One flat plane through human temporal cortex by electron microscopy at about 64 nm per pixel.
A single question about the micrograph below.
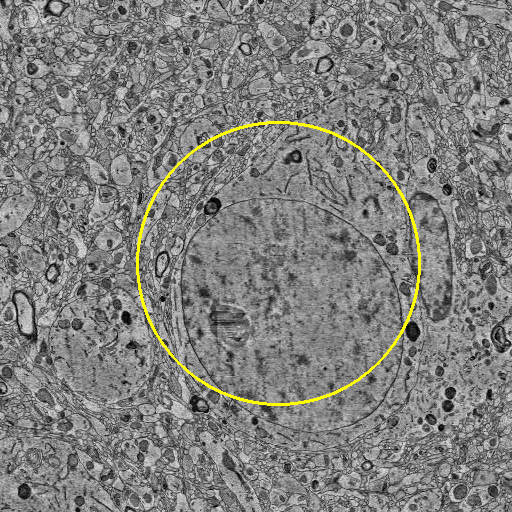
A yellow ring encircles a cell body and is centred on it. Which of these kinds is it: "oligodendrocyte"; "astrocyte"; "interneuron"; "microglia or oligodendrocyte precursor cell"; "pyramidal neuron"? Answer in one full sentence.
The cell body at the centre of the yellow ring belongs to a pyramidal neuron.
